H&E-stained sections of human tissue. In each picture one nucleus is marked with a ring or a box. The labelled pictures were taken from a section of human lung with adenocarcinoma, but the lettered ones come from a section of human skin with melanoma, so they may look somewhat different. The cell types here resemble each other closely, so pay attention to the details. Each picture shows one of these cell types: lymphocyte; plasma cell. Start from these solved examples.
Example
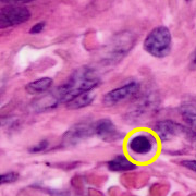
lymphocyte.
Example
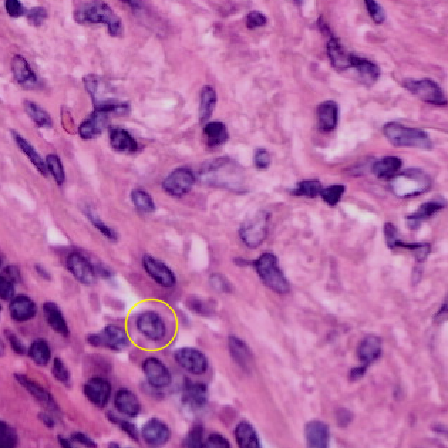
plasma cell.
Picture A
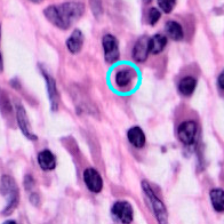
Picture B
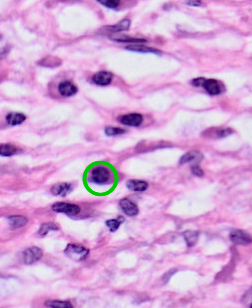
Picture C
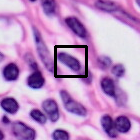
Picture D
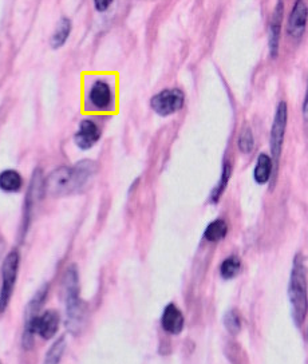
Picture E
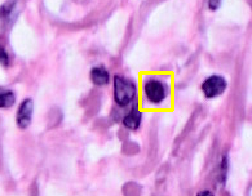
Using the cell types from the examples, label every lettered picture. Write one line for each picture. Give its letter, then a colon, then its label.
A: plasma cell.
B: plasma cell.
C: lymphocyte.
D: plasma cell.
E: plasma cell.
